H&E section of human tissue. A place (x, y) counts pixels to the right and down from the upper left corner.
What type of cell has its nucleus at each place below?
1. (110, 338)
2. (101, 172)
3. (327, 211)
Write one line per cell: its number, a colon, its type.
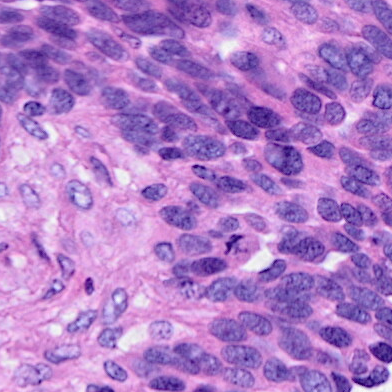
1: fibroblast
2: fibroblast
3: carcinoma cell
